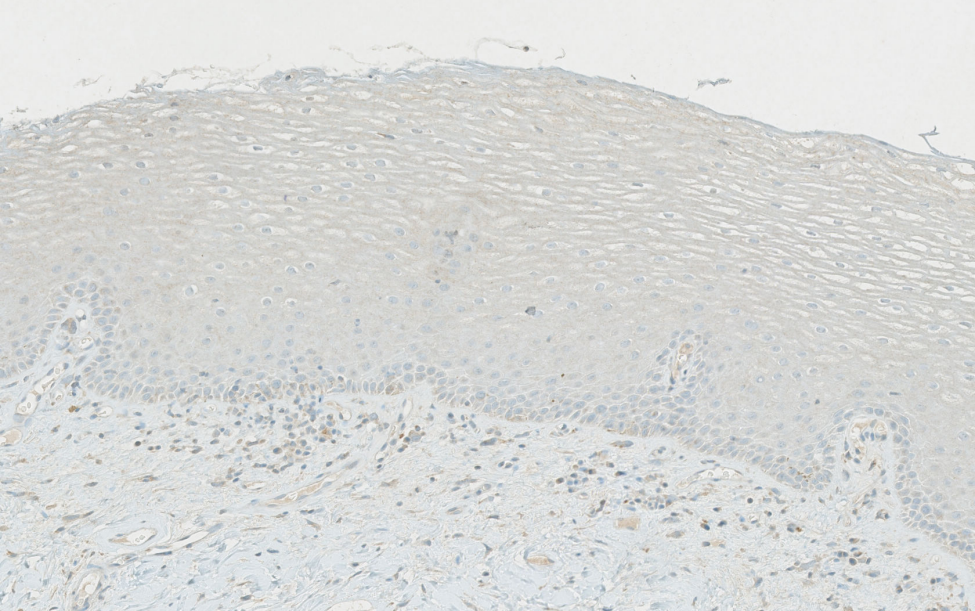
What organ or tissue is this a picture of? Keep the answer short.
mucosa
